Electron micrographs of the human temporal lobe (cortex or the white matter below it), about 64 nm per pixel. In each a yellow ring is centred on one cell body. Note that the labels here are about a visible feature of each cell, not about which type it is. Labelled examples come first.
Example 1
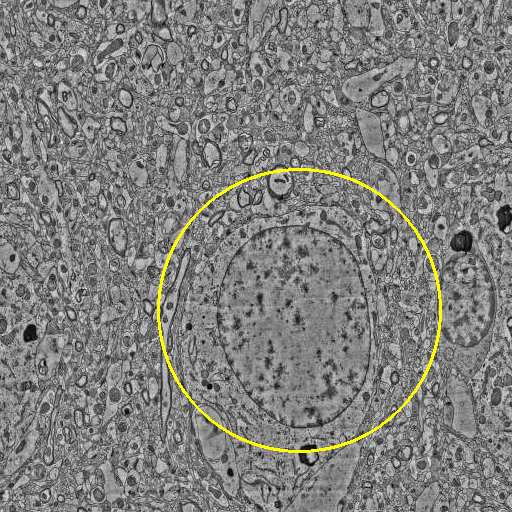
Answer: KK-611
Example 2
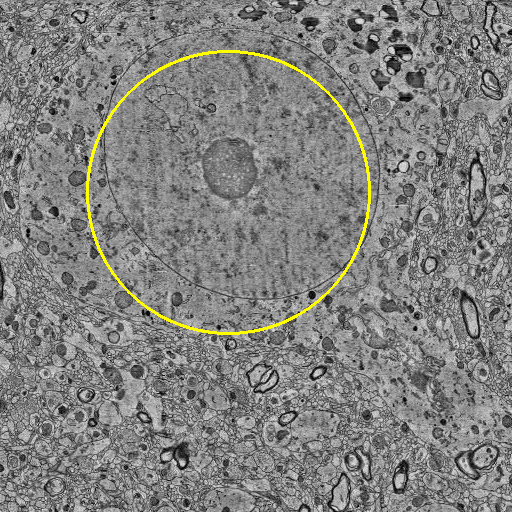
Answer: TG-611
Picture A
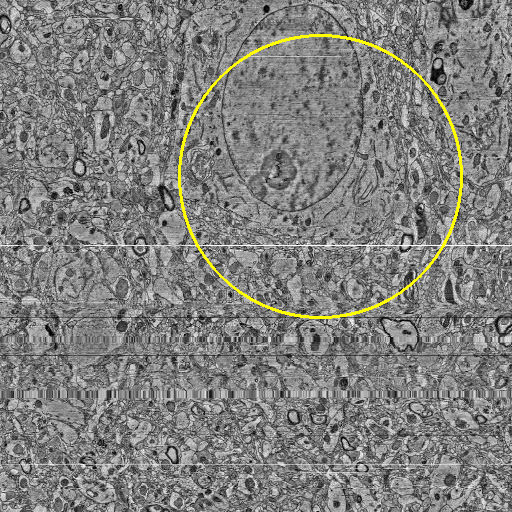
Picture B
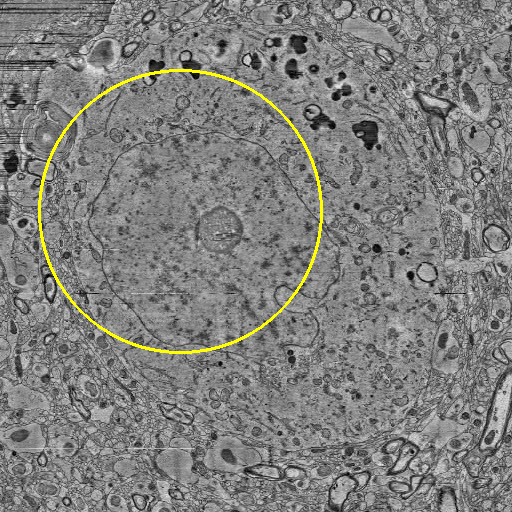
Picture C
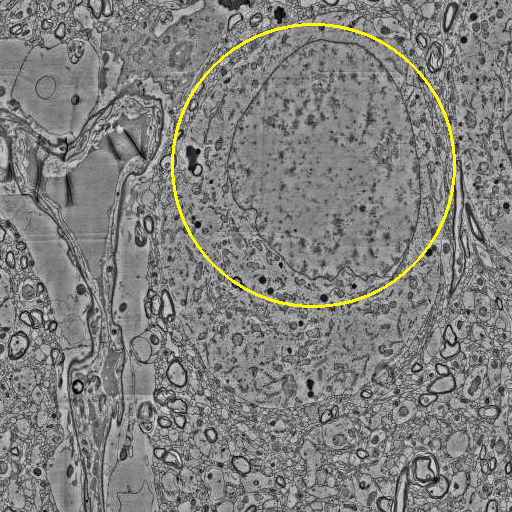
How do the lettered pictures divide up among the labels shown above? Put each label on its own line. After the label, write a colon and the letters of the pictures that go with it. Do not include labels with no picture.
KK-611: C
TG-611: A, B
